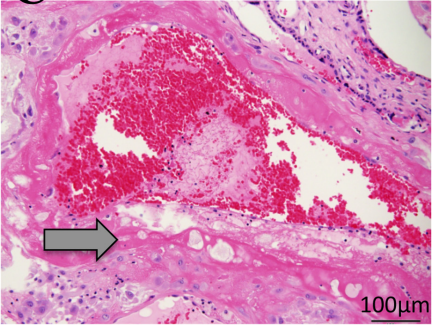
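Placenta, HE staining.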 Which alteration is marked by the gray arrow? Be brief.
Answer: replacement of the vessel wall by a fibrin layer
